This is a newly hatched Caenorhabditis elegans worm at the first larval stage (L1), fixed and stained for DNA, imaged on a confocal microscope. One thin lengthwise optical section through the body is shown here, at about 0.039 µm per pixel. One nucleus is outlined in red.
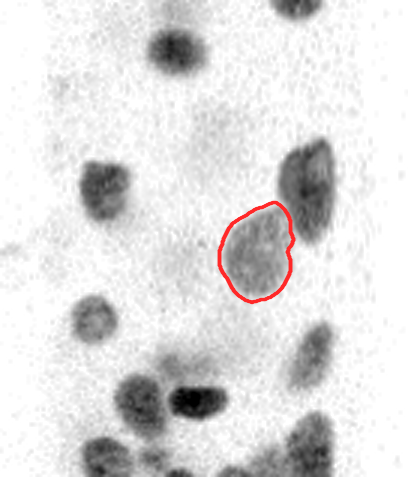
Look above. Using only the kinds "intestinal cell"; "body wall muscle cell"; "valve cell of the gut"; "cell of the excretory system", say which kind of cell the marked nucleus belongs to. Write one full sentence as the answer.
The cell with the marked nucleus is an intestinal cell.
